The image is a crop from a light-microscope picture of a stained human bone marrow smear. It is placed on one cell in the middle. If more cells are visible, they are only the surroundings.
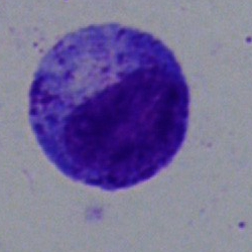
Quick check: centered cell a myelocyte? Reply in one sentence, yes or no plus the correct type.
Yes, the crop's central cell is a myelocyte.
